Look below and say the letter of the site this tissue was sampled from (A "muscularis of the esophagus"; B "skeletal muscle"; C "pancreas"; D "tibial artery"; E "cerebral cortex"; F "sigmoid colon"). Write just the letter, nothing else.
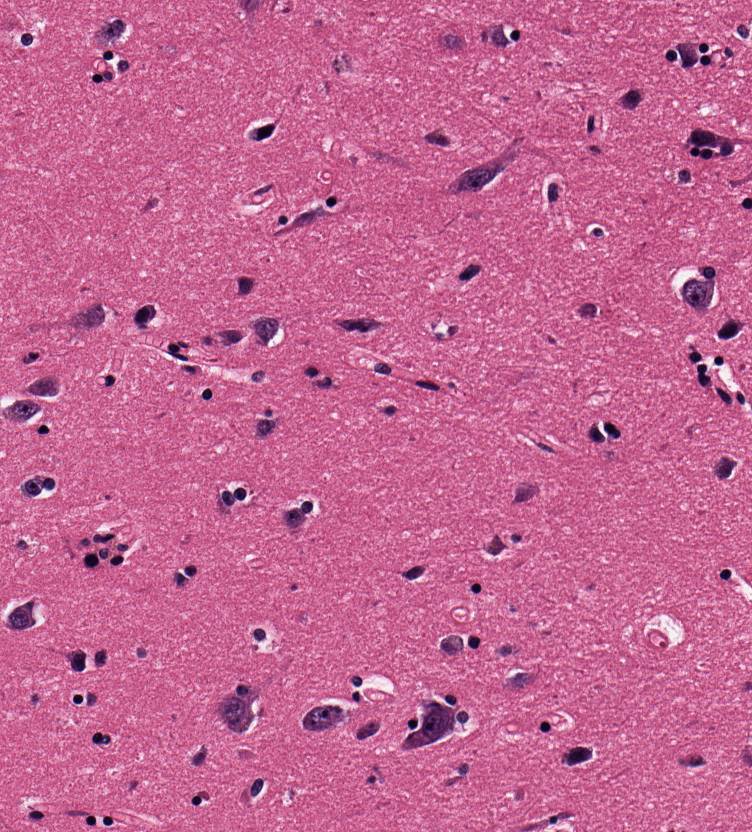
E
